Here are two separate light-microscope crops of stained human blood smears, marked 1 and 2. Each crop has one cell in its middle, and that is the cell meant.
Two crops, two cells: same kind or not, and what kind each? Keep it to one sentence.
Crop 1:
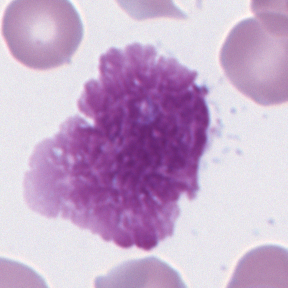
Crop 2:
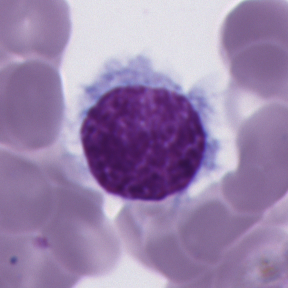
No, a smudge cell is the cell in crop 1; a hairy cell is the cell in crop 2.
